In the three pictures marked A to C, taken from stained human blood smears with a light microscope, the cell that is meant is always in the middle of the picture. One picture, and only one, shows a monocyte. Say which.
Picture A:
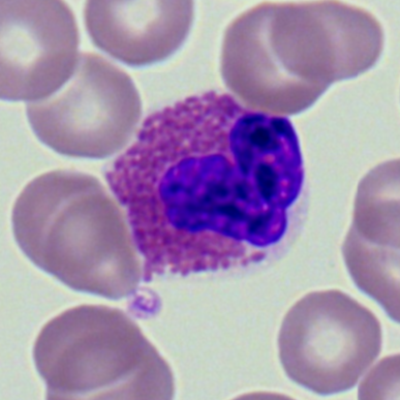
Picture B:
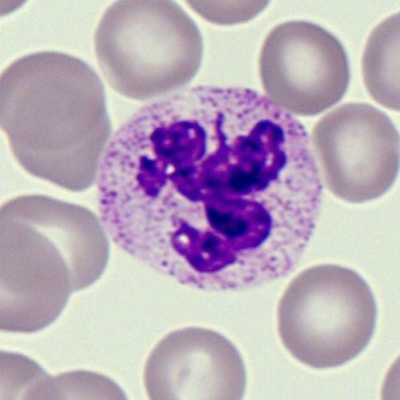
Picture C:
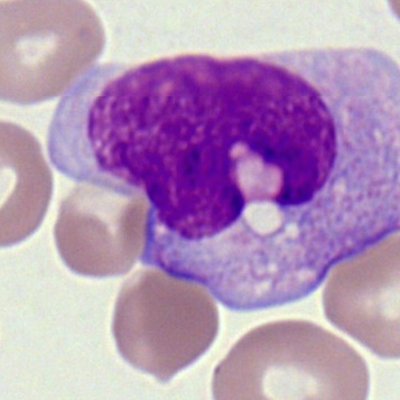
C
